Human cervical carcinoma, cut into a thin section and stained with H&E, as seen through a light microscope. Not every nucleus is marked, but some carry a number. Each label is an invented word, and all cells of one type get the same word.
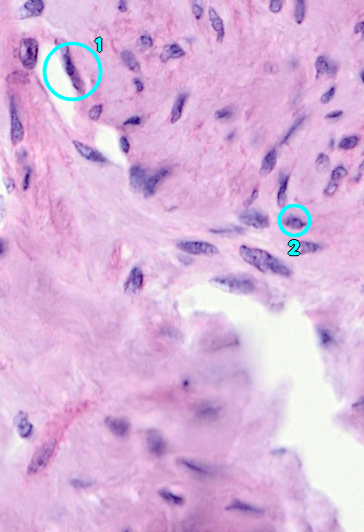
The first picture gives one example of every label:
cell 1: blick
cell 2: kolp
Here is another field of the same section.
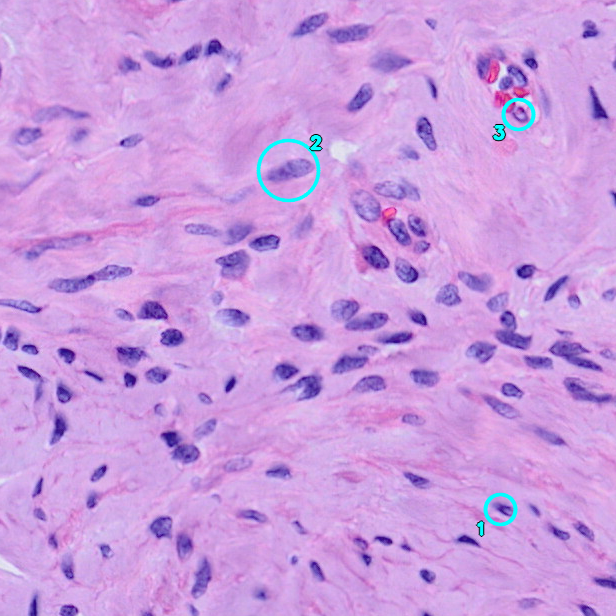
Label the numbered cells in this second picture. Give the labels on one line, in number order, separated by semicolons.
kolp; kolp; blick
